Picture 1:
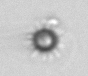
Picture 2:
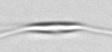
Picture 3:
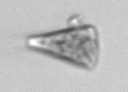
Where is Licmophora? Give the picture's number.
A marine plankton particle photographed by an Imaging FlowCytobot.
3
